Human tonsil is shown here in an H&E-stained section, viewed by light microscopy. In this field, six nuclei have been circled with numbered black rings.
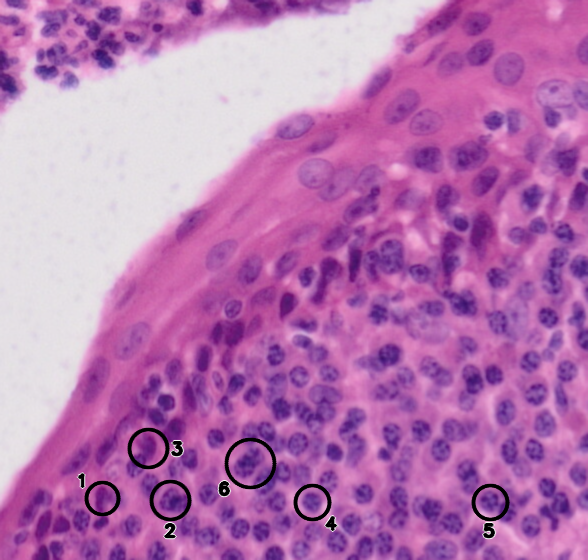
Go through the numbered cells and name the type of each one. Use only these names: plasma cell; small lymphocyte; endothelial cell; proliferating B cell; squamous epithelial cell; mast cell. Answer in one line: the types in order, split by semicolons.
squamous epithelial cell; plasma cell; squamous epithelial cell; plasma cell; plasma cell; plasma cell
